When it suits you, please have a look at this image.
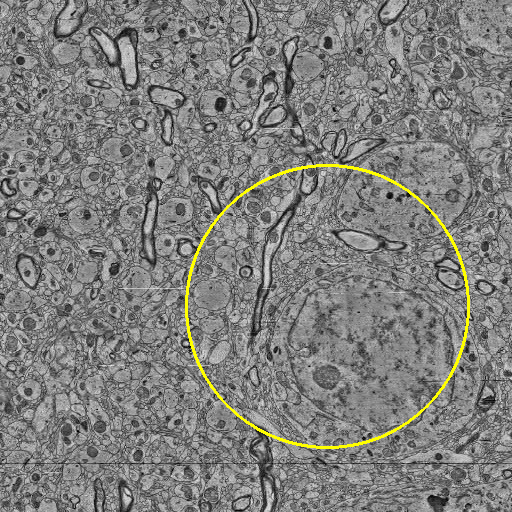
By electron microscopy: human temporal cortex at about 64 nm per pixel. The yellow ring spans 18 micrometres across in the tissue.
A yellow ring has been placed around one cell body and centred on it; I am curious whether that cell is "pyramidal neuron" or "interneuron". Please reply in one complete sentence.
The ringed cell, a pyramidal neuron, has its body at the centre of the yellow ring.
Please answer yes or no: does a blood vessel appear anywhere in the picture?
No, no vessel appears in the picture.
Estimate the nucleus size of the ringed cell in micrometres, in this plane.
The nucleus appears about 11 micrometres across in this plane.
